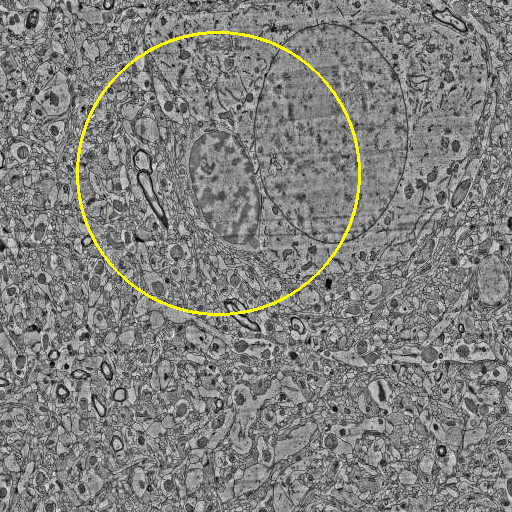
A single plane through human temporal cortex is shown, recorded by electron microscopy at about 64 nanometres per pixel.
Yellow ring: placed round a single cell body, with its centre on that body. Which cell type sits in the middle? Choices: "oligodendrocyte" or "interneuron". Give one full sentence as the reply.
It is an oligodendrocyte whose cell body sits at the centre of the yellow ring.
